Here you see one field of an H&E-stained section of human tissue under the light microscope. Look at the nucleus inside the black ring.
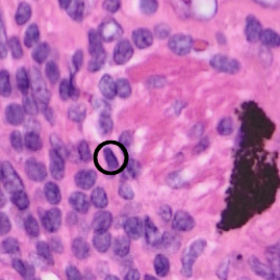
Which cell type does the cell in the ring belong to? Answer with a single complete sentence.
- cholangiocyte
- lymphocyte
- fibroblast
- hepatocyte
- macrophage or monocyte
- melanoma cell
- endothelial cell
The classification of the cell in the ring is as a lymphocyte.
